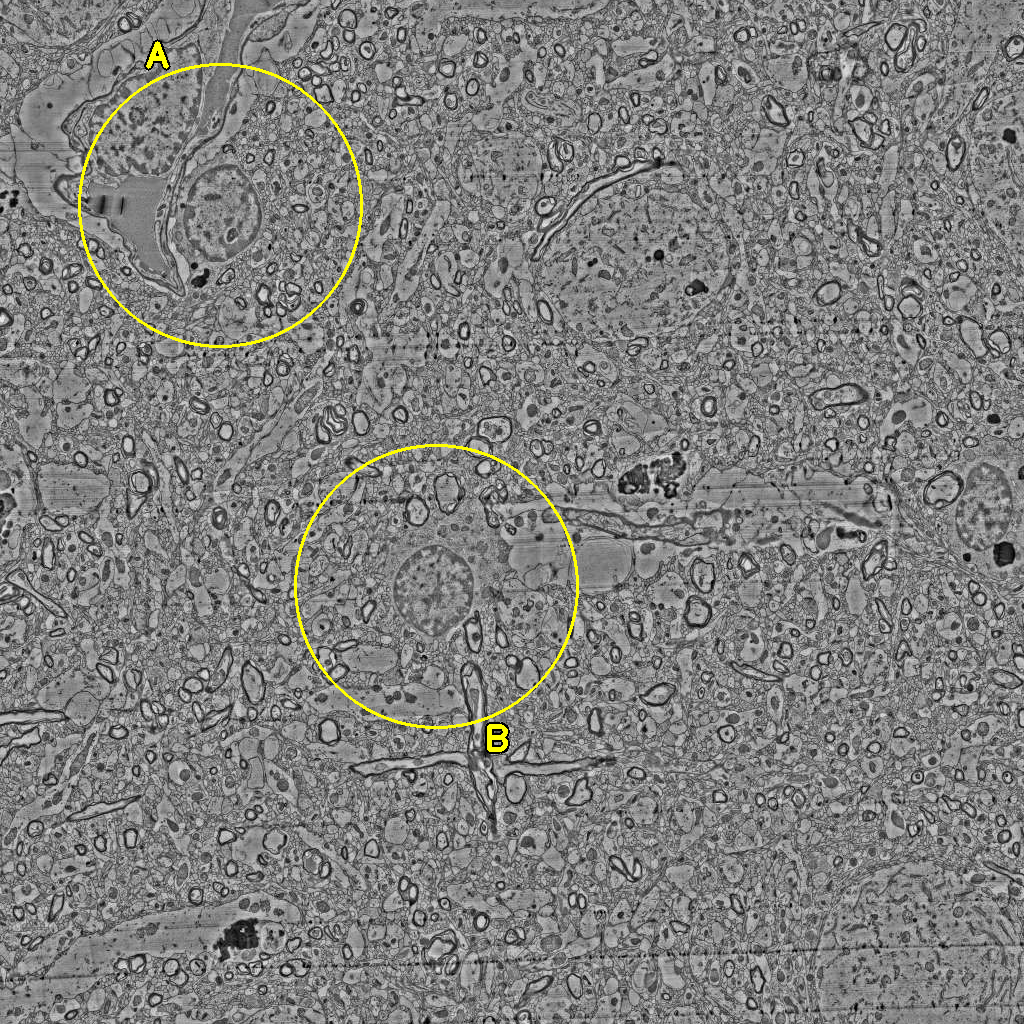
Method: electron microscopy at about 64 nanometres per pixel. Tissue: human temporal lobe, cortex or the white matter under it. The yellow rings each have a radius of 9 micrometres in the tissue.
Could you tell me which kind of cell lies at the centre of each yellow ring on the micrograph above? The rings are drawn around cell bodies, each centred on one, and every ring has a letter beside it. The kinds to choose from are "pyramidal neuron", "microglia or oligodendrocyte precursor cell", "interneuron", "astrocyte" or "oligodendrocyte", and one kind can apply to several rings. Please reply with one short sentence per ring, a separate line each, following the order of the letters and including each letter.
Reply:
Ring A circles an oligodendrocyte.
Ring B circles an oligodendrocyte.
